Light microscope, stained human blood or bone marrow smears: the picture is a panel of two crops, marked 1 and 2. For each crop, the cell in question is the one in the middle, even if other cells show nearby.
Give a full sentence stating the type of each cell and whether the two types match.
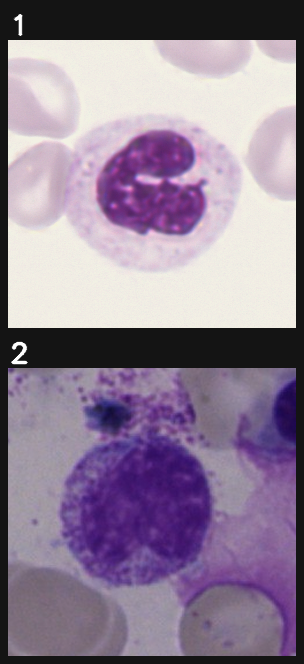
No, crop 1 and crop 2 contain, respectively, a band neutrophil and a metamyelocyte.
